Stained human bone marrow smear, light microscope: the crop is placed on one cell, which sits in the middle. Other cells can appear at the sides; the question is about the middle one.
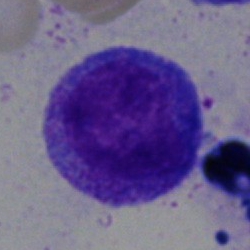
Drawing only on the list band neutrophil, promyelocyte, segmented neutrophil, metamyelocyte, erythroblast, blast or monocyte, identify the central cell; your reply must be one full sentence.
The middle of this crop holds a promyelocyte.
